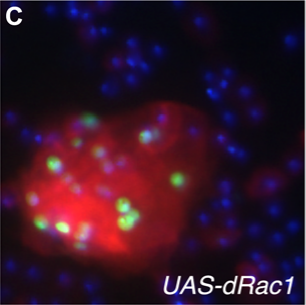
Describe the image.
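The sheet looks like several flattened lamellocytes spread and clumped together, their borders hard to tell apart. Around it lie numerous small cells whose blue nuclei stand out with little cytoplasm visible.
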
